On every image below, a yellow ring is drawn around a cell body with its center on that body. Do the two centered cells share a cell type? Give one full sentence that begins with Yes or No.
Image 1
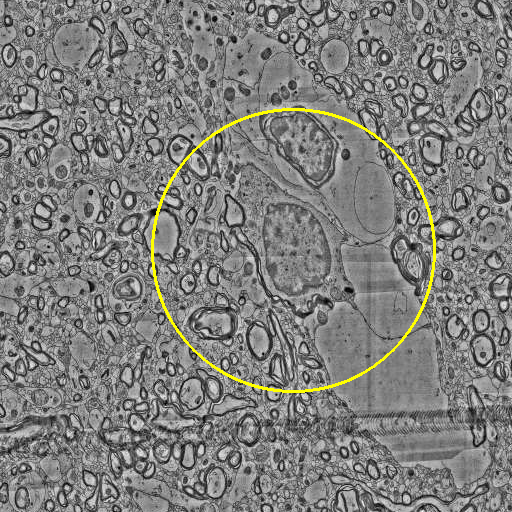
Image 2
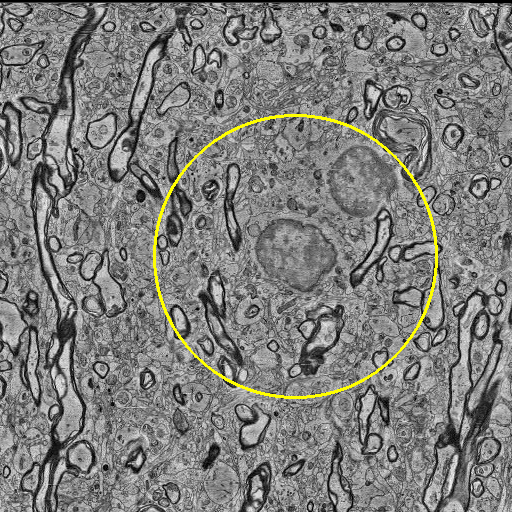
Yes, the centered cells in the two images are of a single cell type.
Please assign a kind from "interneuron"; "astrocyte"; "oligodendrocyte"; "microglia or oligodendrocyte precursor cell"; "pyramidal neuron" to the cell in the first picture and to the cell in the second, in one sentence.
Each of the two rings surrounds an oligodendrocyte.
